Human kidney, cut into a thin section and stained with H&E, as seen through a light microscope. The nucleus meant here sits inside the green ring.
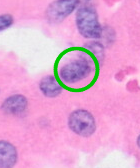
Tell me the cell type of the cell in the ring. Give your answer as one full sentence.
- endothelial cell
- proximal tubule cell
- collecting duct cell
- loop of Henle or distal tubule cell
In the stained section, the cell in the ring is a collecting duct cell.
